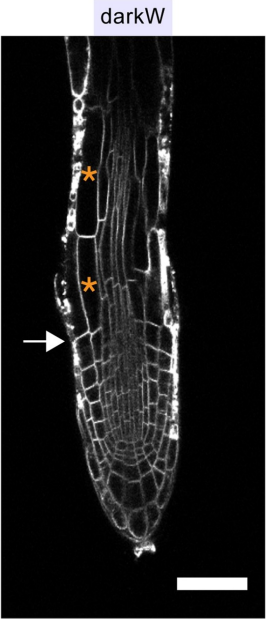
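A root tip is seen in optical section, with cell outlines drawn in white on a black ground and the rounded cap at the bottom. Near the tip the cells are small and tightly packed in files that converge toward the apex. Further up, cells in the outer files suddenly become very long and narrow, several times longer than wide, while the surface layer appears irregular and brightly labelled in patches.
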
